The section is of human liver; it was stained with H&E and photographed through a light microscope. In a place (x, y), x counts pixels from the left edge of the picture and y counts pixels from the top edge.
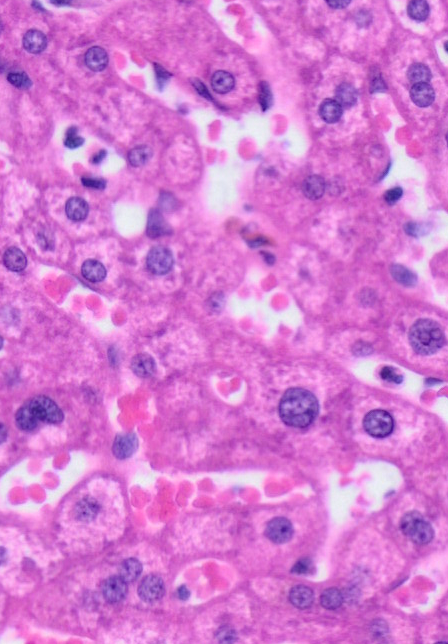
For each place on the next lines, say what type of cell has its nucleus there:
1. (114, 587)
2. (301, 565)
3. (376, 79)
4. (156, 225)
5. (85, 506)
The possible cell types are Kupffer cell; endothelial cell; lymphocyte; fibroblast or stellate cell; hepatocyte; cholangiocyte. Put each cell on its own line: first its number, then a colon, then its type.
1: hepatocyte
2: fibroblast or stellate cell
3: endothelial cell
4: endothelial cell
5: hepatocyte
